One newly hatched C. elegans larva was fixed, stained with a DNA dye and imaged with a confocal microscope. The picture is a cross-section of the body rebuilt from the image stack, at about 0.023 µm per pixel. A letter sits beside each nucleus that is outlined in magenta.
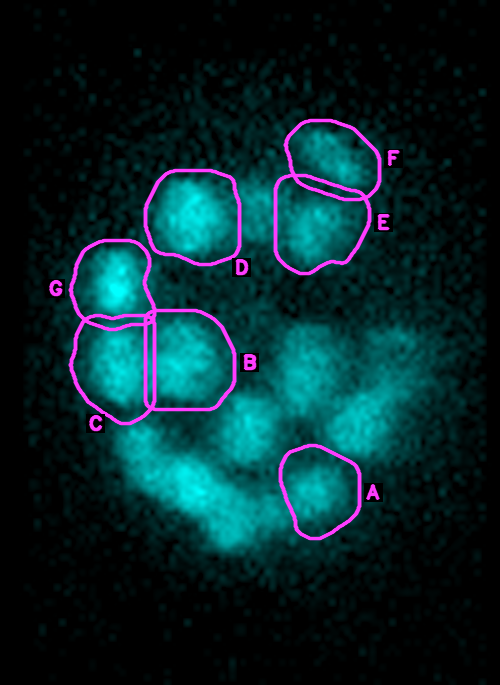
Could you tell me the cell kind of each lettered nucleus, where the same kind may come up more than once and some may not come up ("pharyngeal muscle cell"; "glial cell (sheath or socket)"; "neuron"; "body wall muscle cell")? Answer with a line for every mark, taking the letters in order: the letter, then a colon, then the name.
A: body wall muscle cell
B: pharyngeal muscle cell
C: neuron
D: neuron
E: neuron
F: body wall muscle cell
G: glial cell (sheath or socket)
